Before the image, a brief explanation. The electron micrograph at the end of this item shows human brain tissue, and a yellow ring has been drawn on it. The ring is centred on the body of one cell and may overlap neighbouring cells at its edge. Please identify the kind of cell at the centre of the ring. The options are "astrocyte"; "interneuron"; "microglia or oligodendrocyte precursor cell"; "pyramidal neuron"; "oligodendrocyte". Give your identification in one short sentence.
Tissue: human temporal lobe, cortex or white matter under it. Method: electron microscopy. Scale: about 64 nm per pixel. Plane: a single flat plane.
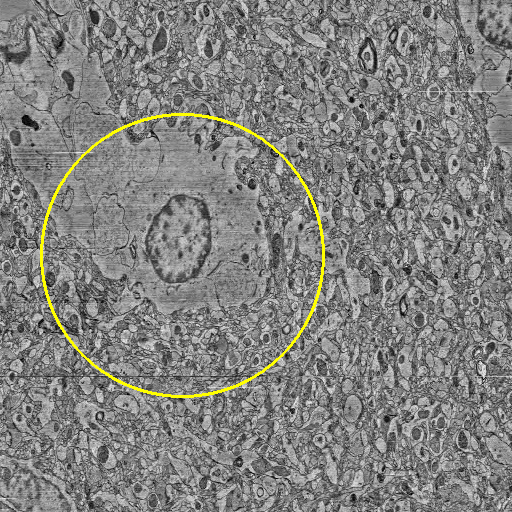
The ring has been placed around an astrocyte.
